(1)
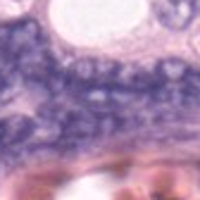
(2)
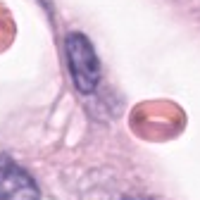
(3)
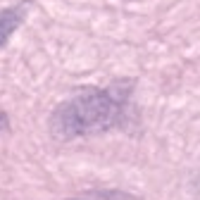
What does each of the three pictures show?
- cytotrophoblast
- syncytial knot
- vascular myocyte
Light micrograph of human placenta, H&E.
(1) syncytial knot
(2) cytotrophoblast
(3) vascular myocyte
